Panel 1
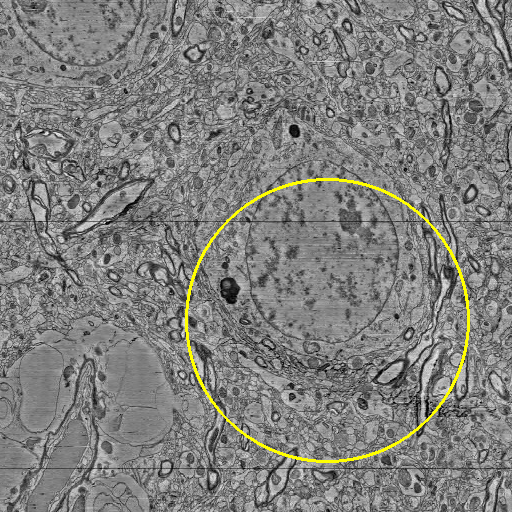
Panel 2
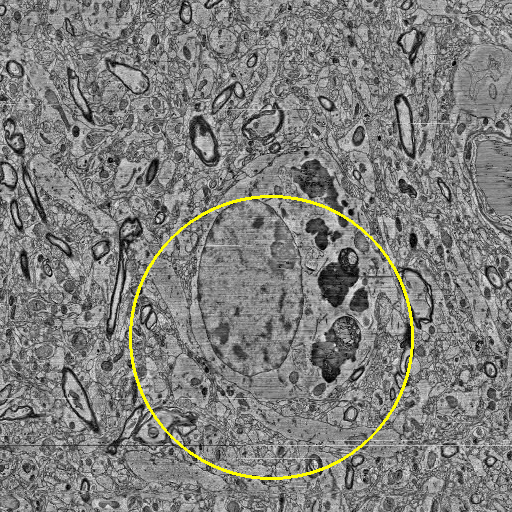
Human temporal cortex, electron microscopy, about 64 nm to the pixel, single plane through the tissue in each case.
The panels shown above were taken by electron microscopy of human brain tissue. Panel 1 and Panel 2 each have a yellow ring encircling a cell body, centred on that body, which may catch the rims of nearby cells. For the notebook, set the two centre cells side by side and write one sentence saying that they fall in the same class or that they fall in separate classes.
The centred cells of Panel 1 and Panel 2 fall in separate classes.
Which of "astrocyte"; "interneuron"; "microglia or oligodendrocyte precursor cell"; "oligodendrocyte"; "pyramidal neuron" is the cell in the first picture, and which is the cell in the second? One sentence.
The two differ: the first cell is a pyramidal neuron and the second is an astrocyte.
